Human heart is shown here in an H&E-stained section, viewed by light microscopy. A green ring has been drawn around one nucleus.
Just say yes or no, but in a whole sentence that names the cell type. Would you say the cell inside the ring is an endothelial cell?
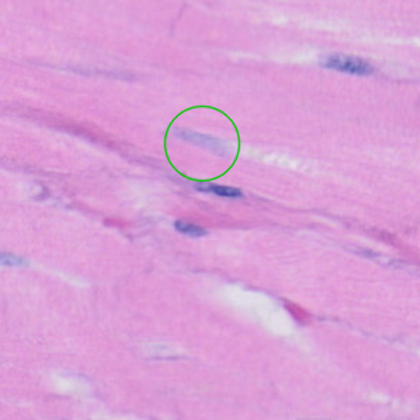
No, the cell inside the ring qualifies as a cardiomyocyte and does not qualify as an endothelial cell.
